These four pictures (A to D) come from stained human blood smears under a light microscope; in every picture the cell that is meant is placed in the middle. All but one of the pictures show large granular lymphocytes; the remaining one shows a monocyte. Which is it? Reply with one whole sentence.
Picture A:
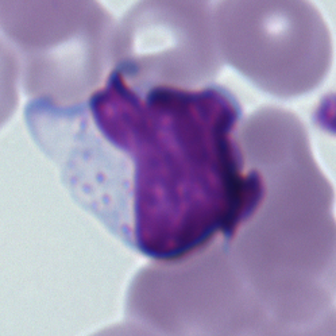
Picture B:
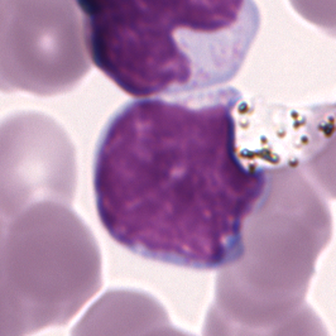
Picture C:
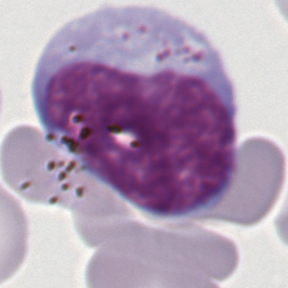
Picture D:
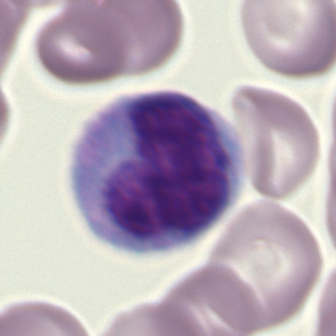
It is picture D that shows the monocyte.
